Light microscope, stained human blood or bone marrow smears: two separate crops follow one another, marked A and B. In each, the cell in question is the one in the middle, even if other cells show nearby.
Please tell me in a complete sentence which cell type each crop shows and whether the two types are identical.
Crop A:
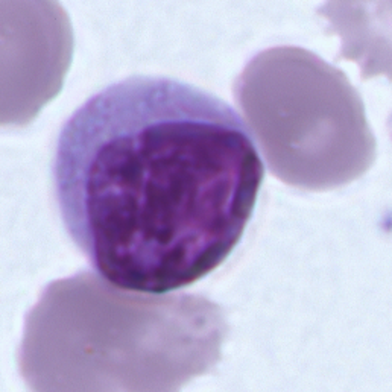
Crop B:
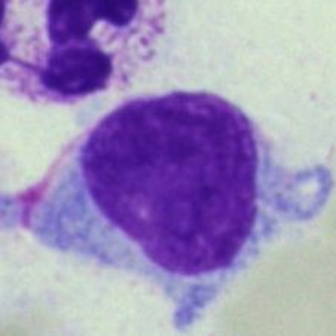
No, crop A matches a plasma cell and crop B matches a hairy cell.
